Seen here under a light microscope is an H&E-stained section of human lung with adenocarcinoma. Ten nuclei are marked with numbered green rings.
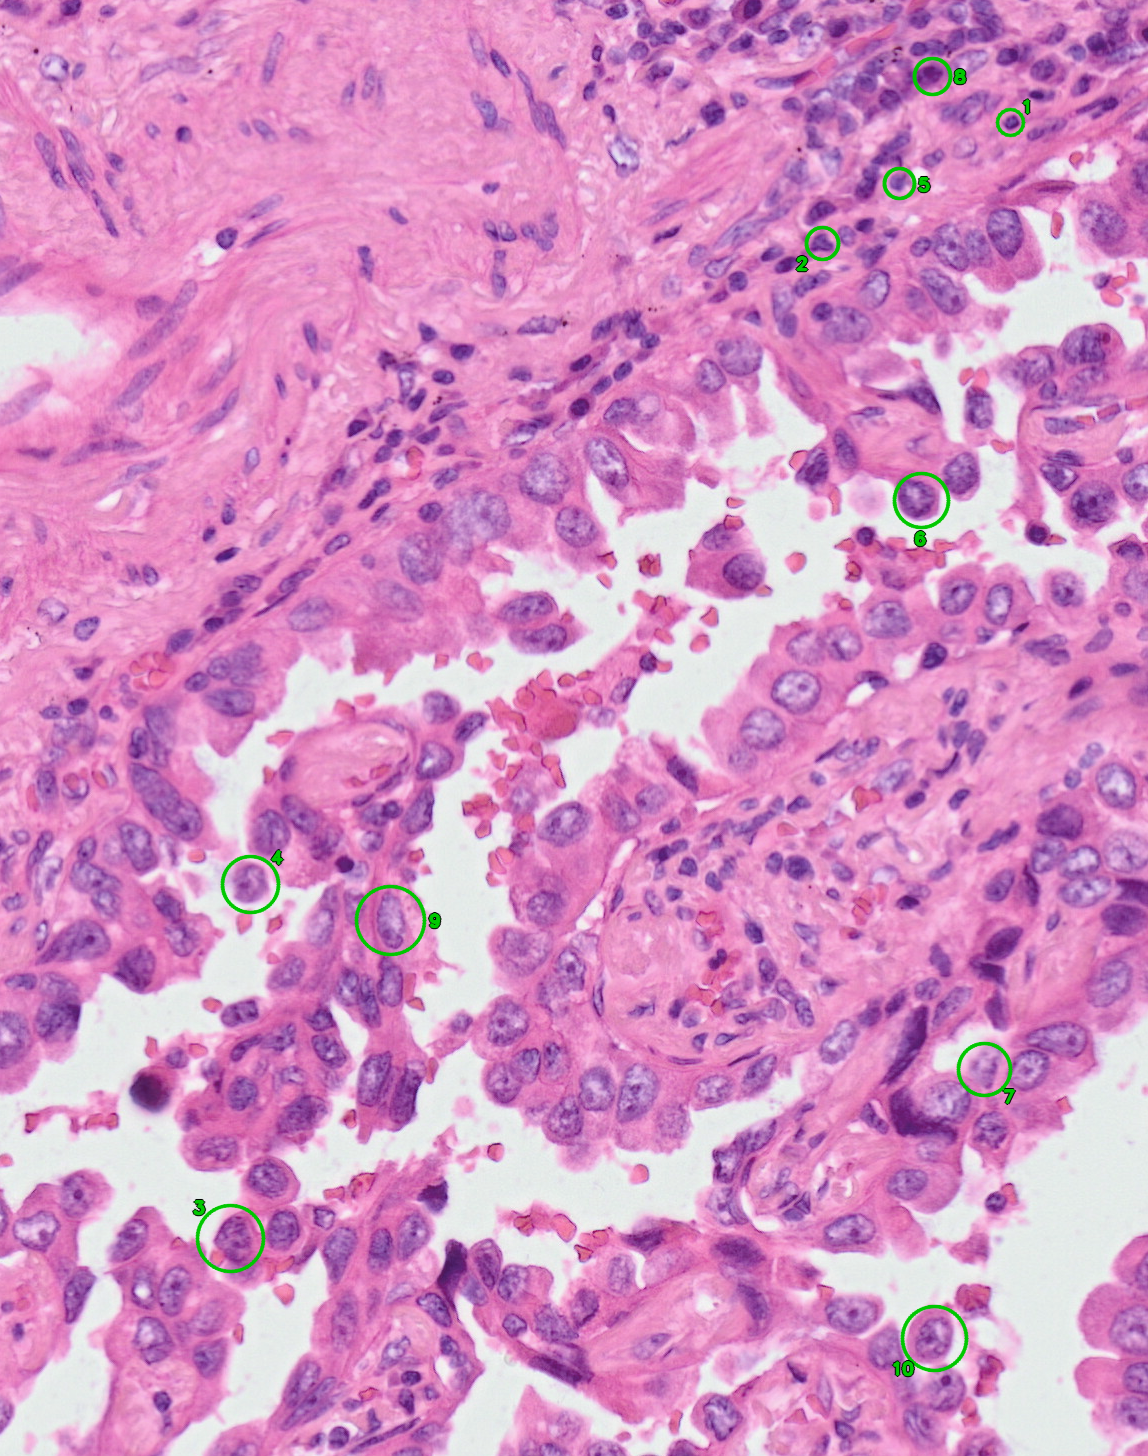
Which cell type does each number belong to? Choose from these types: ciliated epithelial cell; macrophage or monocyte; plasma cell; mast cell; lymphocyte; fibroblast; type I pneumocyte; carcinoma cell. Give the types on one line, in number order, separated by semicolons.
lymphocyte; plasma cell; carcinoma cell; carcinoma cell; lymphocyte; carcinoma cell; carcinoma cell; plasma cell; carcinoma cell; carcinoma cell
